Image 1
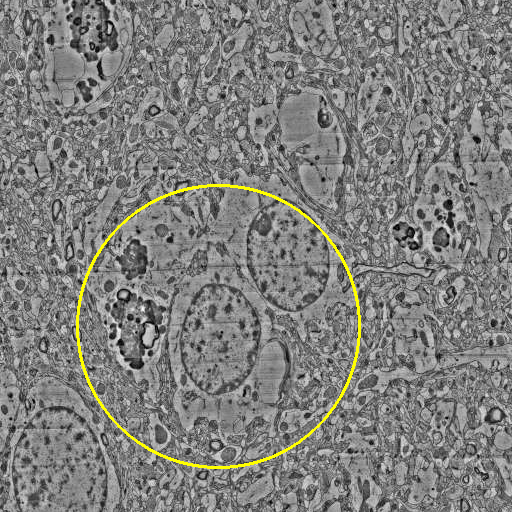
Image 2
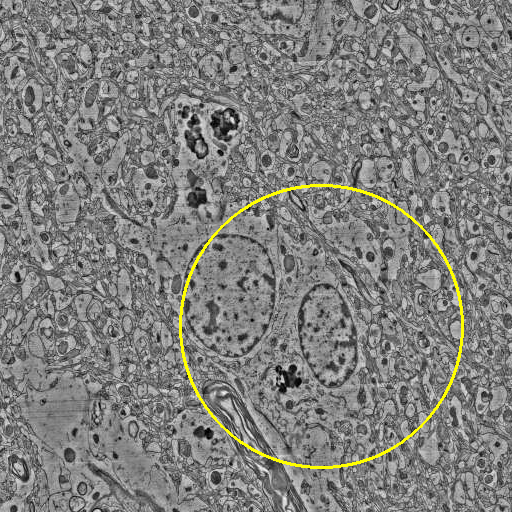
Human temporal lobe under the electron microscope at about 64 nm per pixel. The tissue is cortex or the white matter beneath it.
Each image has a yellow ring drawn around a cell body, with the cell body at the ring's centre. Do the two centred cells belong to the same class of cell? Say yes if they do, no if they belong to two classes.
yes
